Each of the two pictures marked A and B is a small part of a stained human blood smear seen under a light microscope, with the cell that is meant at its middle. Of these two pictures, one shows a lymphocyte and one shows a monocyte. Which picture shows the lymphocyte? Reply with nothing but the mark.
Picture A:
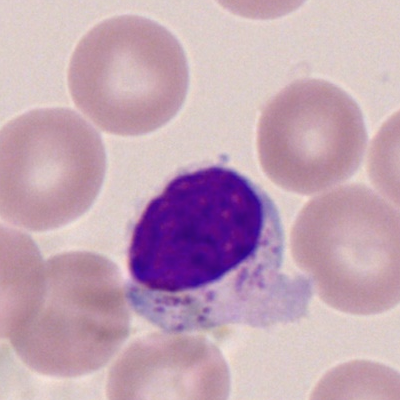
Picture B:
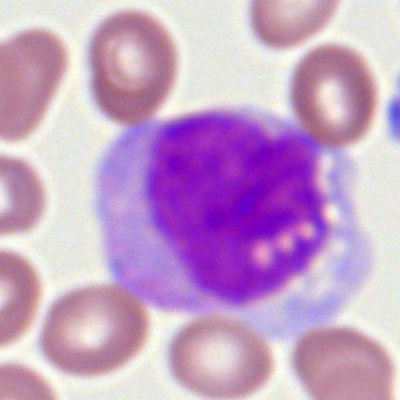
A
